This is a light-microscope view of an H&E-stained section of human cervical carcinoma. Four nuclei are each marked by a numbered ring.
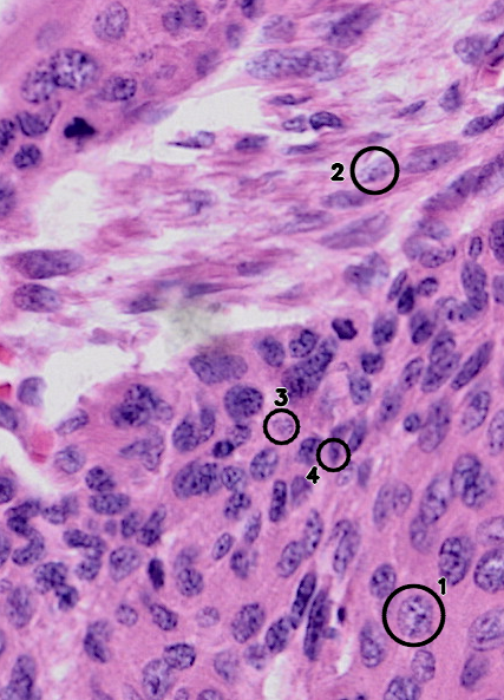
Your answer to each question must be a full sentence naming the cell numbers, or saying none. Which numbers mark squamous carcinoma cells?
Cells 1, 3 and 4 are recognised here as squamous carcinoma cells.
